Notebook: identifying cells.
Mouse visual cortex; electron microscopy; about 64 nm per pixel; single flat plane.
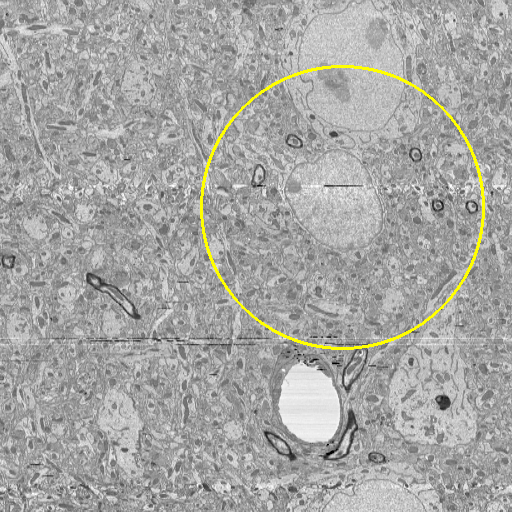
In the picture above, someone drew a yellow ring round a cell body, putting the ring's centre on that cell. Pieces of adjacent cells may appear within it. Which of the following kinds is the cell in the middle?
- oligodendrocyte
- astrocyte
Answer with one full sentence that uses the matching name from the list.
In this picture, the yellow ring is centred on the body of an astrocyte.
